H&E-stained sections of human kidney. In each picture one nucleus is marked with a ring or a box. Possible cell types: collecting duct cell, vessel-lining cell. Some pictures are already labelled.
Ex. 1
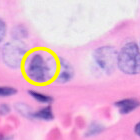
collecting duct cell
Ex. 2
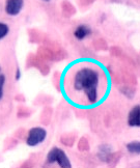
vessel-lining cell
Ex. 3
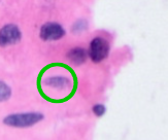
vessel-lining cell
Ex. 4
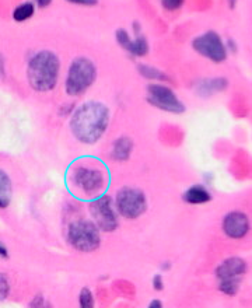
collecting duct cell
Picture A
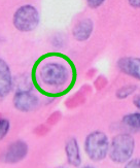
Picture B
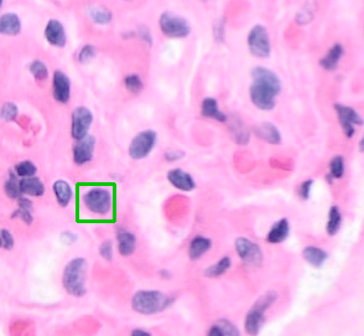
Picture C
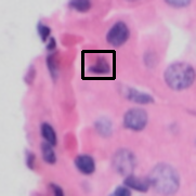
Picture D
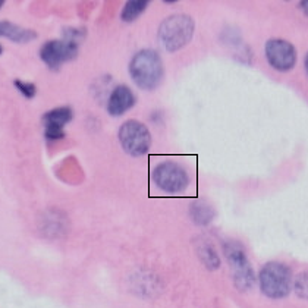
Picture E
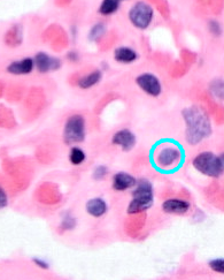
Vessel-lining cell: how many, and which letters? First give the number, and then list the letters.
3, namely B, C, E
